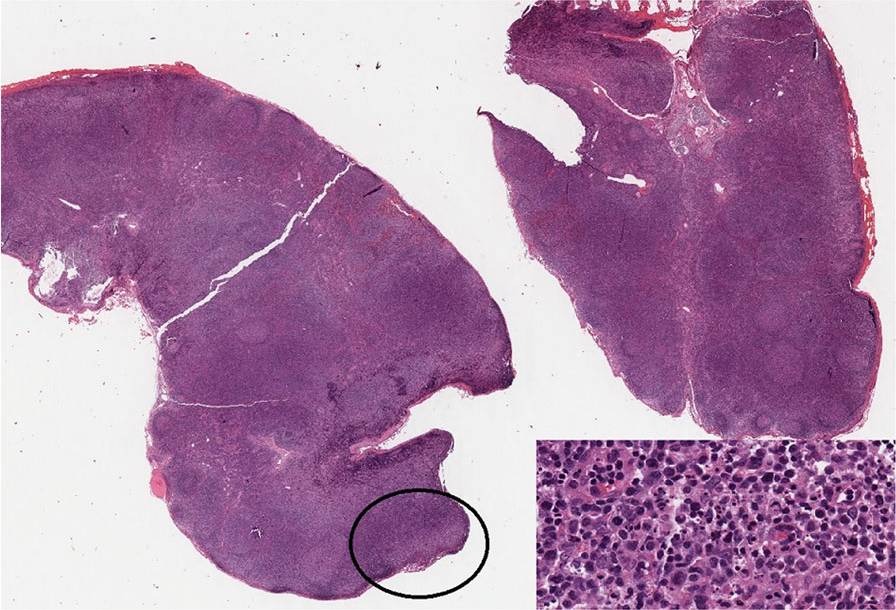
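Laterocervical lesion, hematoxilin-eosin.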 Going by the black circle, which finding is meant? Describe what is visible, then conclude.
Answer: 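The circled area lies just under the capsule at the lower edge of the node. The high-power inset shows scattered fragmented dark nuclear debris among cells.
Answer: small subcapsular necrotic focus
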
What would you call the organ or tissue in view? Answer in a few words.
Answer: Lymph node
